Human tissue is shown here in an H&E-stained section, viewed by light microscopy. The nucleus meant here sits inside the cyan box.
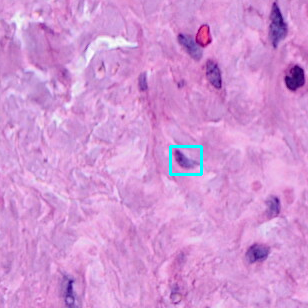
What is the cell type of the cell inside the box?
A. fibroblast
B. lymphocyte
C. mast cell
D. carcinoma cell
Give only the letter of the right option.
A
